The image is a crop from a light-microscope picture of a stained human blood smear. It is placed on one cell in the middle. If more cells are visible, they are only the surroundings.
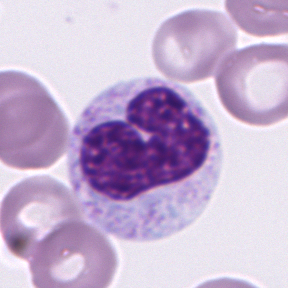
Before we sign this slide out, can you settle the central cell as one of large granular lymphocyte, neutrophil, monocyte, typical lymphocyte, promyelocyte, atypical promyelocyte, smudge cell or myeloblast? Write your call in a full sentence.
The central cell in this smear crop is a neutrophil.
